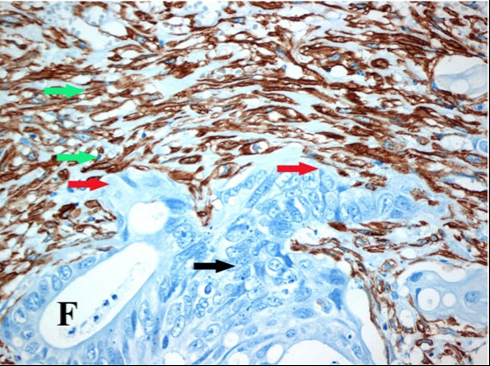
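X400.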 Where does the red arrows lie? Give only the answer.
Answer: Tumor invasion front area.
